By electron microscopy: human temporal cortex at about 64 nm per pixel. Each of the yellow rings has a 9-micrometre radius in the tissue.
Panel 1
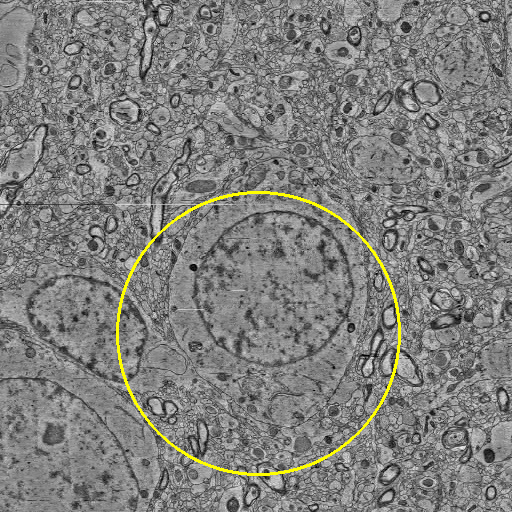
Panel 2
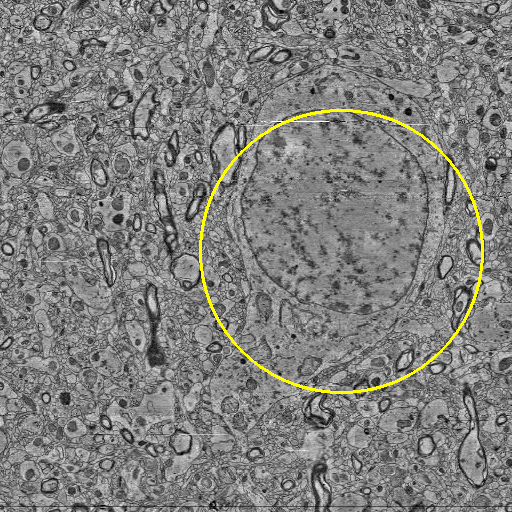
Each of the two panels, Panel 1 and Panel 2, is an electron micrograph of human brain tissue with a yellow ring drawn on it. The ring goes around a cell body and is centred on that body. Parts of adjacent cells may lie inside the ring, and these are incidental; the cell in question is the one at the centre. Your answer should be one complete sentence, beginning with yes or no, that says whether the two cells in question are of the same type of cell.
Yes, the two cells are of the same type.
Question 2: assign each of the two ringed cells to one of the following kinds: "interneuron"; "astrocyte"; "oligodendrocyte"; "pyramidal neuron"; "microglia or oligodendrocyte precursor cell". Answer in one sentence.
In each picture the ringed cell is a pyramidal neuron.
